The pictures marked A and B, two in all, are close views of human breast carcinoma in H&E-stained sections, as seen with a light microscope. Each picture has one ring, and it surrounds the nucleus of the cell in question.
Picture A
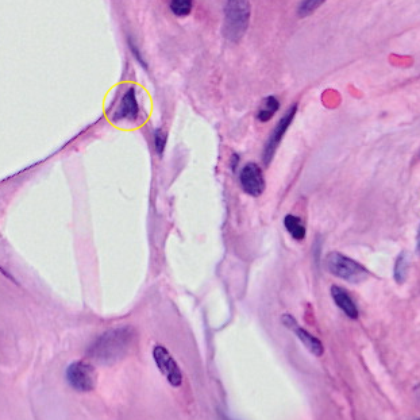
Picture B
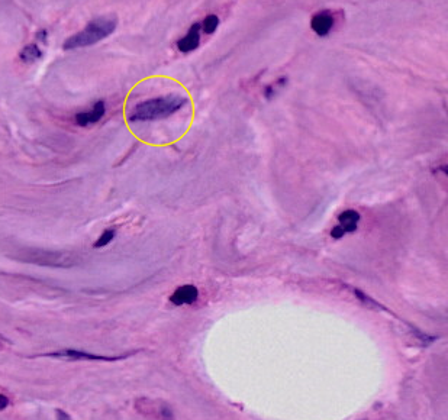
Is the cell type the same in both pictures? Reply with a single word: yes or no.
yes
